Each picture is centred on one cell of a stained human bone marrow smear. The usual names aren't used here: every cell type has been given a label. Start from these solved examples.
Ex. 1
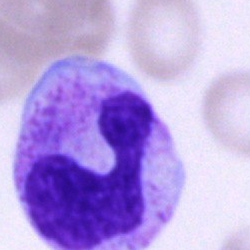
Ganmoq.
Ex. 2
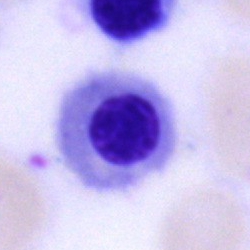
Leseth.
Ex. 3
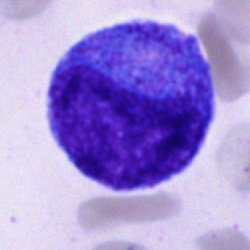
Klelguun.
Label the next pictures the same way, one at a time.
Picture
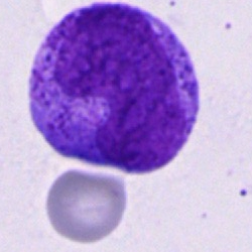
Klelguun.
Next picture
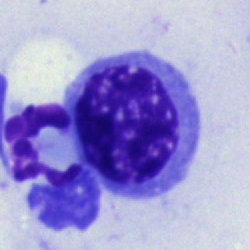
Leseth.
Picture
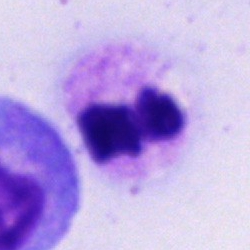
Ganmoq.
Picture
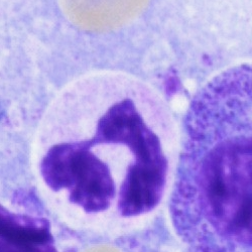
Ganmoq.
